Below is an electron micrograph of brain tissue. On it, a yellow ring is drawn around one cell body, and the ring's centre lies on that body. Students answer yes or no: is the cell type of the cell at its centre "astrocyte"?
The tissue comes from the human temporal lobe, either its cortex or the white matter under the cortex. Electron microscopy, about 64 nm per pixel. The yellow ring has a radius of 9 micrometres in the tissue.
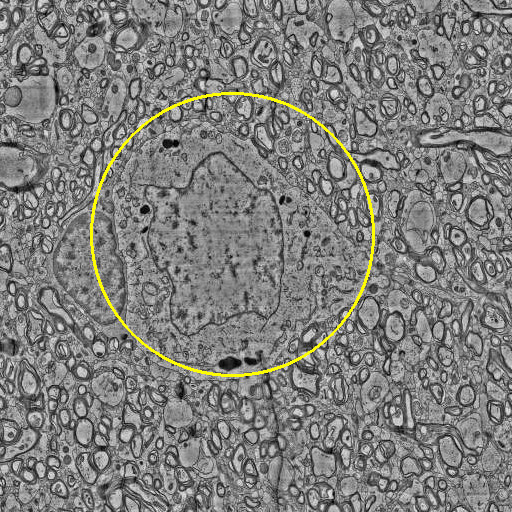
no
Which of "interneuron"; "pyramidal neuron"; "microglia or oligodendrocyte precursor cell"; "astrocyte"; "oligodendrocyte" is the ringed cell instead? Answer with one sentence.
It is a pyramidal neuron that the ring is centred on.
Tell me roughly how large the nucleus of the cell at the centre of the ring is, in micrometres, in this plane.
In this plane, approximately 11 by 9 micrometers.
